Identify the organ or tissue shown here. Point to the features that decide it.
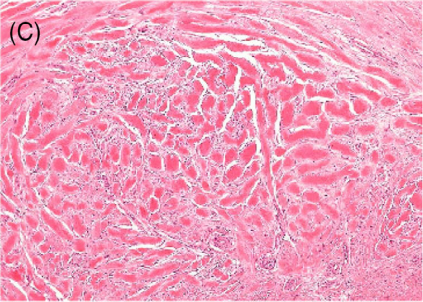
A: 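Thick, glassy pink bundles of collagen fill most of the field. The bundles run in swirling, irregular directions.
Answer: scar tissues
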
